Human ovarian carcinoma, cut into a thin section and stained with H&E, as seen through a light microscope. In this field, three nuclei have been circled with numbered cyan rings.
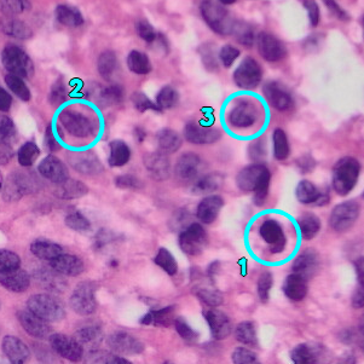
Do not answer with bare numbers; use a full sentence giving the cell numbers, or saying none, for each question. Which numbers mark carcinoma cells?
In this section, the cells numbered 1 and 2 are carcinoma cells.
